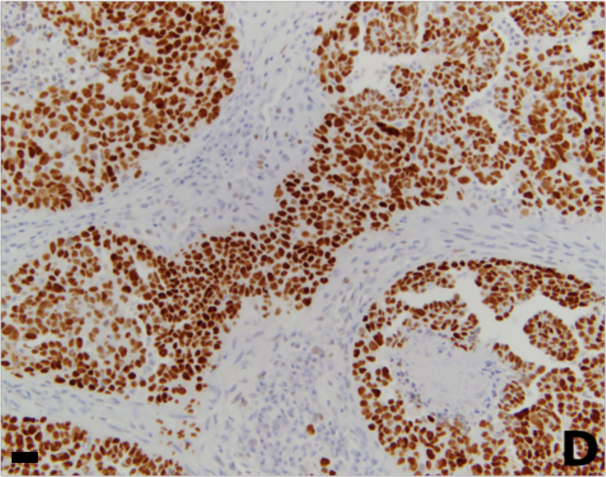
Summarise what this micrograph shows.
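Nests and papillary groups of tumor cells are separated by pale stroma with bluish spindle-shaped nuclei. Almost every tumor cell nucleus is stained strong dark brown, while the stromal nuclei stay blue. The stained nuclei are crowded, oval to irregular and vary in size. Some tumor groups surround open spaces and form branching projections.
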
